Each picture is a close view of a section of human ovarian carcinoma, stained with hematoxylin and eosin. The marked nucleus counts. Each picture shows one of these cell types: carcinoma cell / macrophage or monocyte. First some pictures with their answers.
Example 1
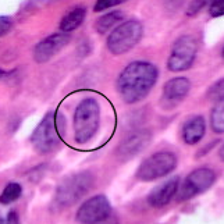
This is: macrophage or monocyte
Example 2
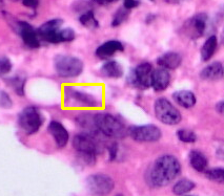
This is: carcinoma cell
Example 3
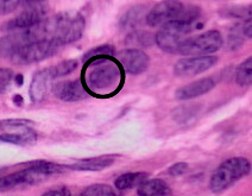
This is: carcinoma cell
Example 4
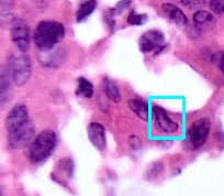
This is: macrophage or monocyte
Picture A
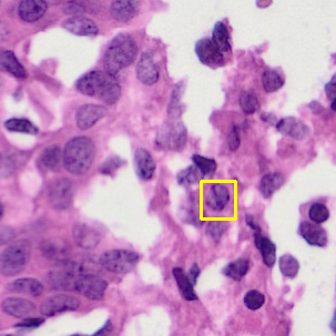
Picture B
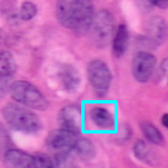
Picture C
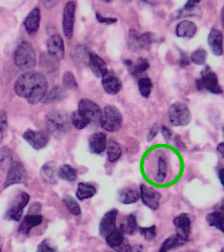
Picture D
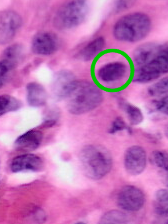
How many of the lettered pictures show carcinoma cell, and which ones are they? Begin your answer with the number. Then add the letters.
1: D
